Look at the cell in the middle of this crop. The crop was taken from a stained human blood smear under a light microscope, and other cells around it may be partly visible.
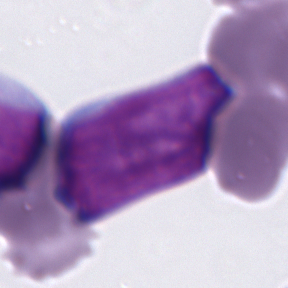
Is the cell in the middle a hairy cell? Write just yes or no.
no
